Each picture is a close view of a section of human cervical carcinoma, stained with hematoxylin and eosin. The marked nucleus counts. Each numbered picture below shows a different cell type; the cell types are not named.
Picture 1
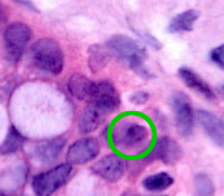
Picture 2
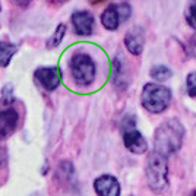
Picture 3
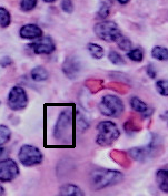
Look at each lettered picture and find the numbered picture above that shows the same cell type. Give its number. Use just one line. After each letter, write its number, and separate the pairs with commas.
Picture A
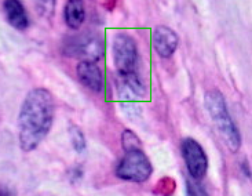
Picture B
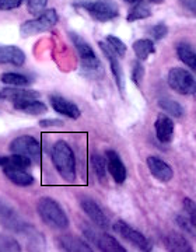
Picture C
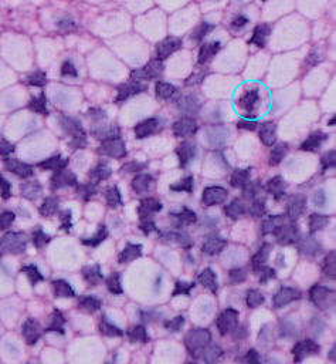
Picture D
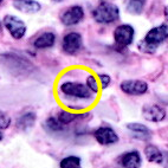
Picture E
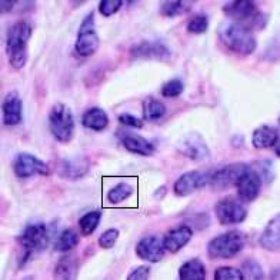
A 3, B 1, C 1, D 2, E 2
